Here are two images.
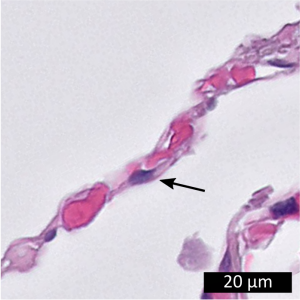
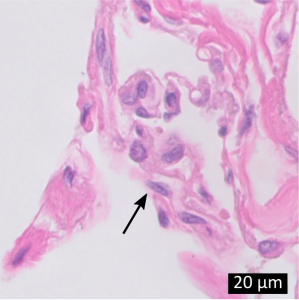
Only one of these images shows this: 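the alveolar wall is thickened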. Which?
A: The second image.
